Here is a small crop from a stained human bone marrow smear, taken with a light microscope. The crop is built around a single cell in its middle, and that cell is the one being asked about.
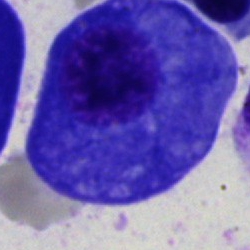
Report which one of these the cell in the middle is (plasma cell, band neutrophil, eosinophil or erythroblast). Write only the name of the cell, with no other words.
plasma cell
